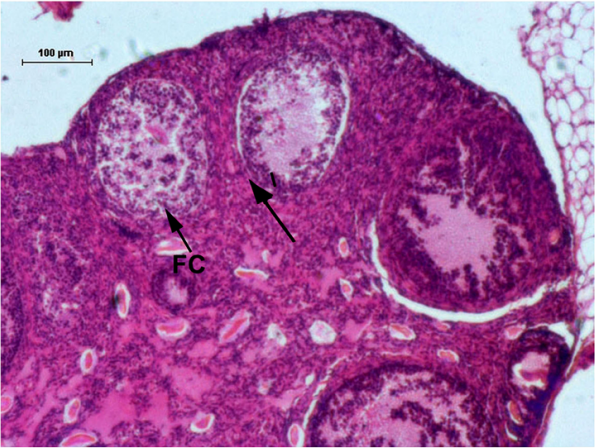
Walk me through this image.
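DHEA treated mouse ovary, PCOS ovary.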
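The granulosa cells lining these follicles are small with dark round nuclei, forming an irregular layer from which many cells have detached into the cavity. Within the cavities the cells lie loosely scattered on a pale pink background, unlike a compact follicle wall. The surrounding stroma holds numerous small vessels filled with red blood cells.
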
